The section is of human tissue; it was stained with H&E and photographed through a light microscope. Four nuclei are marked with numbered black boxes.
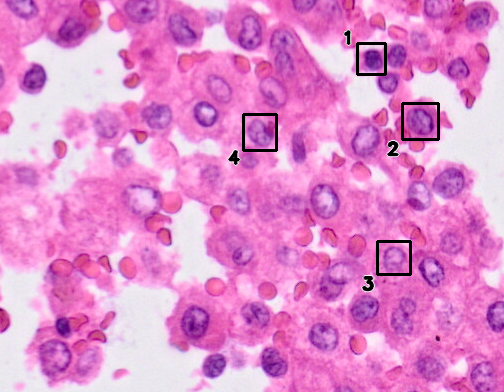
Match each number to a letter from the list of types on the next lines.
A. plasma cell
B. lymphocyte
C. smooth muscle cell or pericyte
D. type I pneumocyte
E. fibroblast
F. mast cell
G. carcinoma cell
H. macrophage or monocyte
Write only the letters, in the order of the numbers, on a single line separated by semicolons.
B; H; H; H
